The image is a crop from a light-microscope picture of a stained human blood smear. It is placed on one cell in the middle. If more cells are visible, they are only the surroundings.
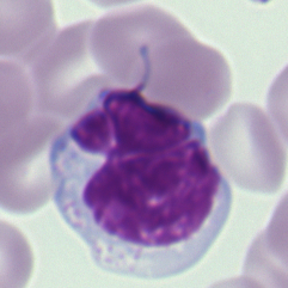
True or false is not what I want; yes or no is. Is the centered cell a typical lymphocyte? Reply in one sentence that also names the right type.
No, the cell centered in the crop is a large granular lymphocyte, not a typical lymphocyte.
